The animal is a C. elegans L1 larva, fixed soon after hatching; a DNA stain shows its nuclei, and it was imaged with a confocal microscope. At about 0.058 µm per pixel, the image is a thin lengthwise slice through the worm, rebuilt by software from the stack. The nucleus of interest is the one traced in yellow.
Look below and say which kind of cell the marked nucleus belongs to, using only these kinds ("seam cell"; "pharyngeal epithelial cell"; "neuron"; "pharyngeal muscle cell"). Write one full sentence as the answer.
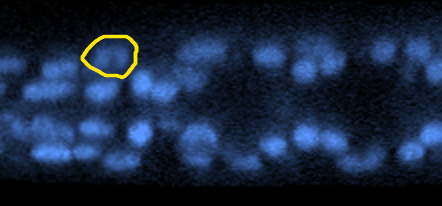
The cell with the marked nucleus is a seam cell.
